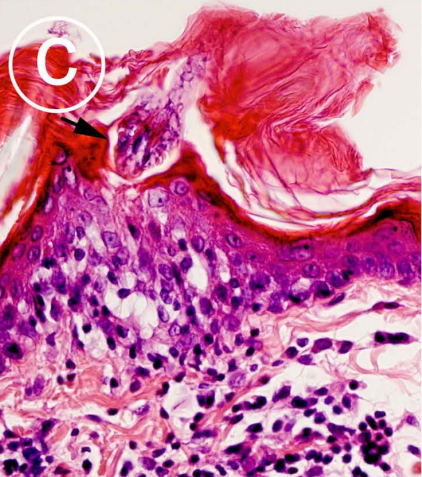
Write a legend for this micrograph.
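This is a section of skin showing the epidermis topped by a keratin layer, with the upper dermis below. The keratin layer is stained bright red and lifts away in flaky sheets at the surface, with a small oval purplish body lodged in it. Beneath it the epidermis is several layers thick, made of keratinocytes with pale round nuclei and pink cytoplasm, with some small dark nuclei scattered between them. The underlying dermis is crowded with many small, dark, round to oval nuclei of inflammatory cells lying in loose pink connective tissue.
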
